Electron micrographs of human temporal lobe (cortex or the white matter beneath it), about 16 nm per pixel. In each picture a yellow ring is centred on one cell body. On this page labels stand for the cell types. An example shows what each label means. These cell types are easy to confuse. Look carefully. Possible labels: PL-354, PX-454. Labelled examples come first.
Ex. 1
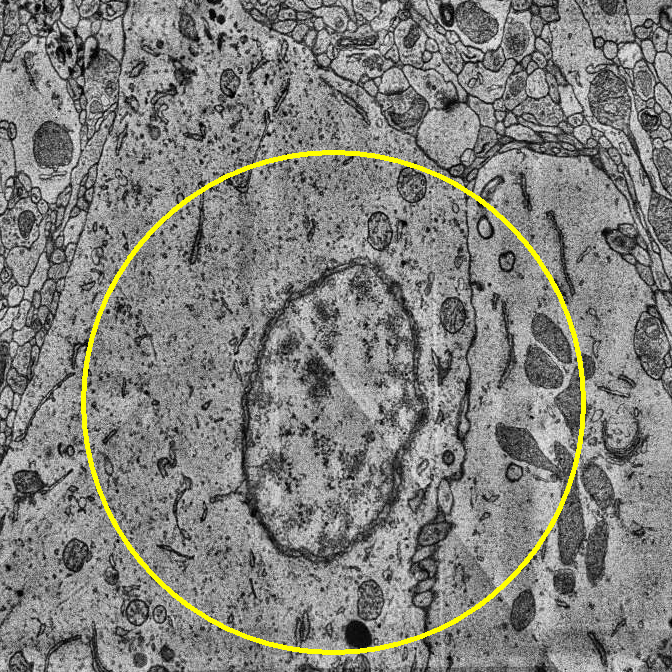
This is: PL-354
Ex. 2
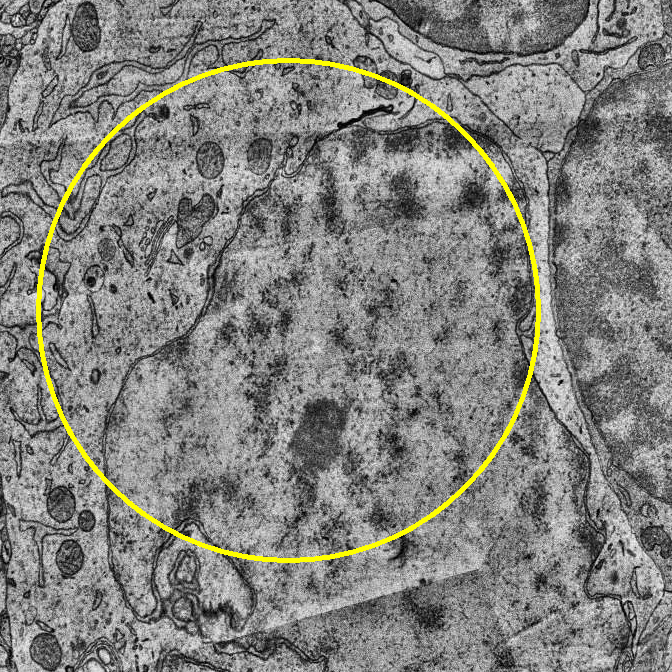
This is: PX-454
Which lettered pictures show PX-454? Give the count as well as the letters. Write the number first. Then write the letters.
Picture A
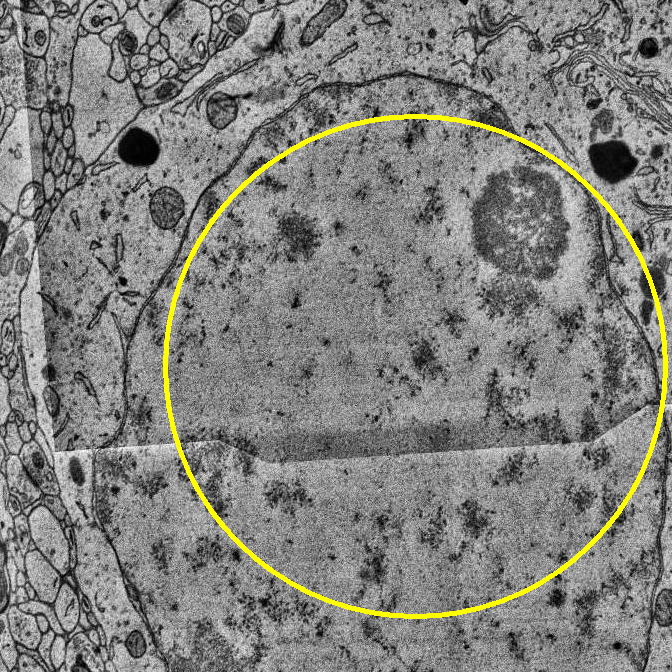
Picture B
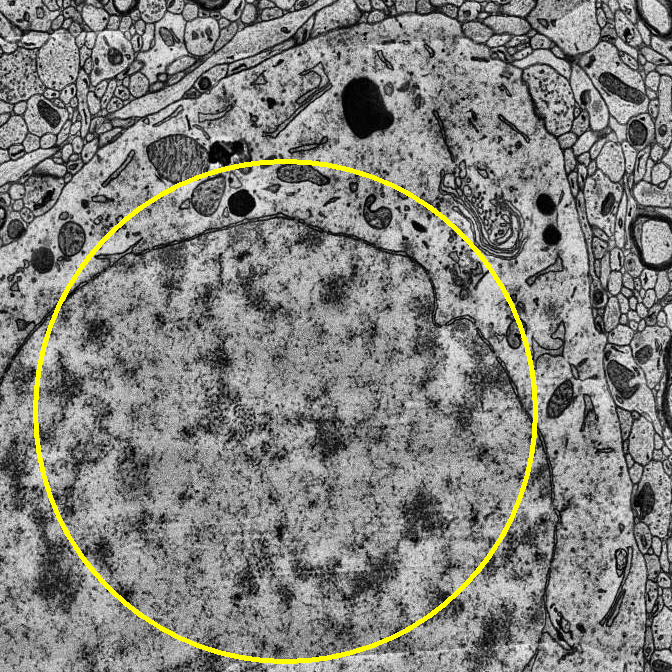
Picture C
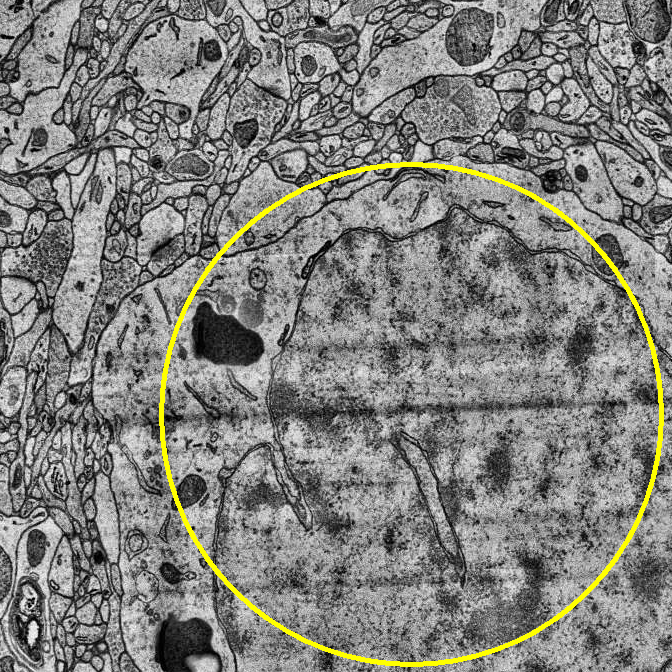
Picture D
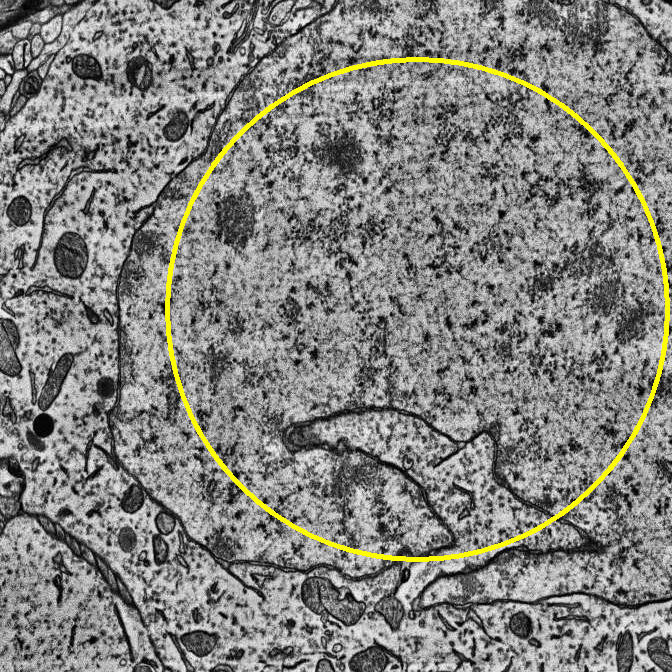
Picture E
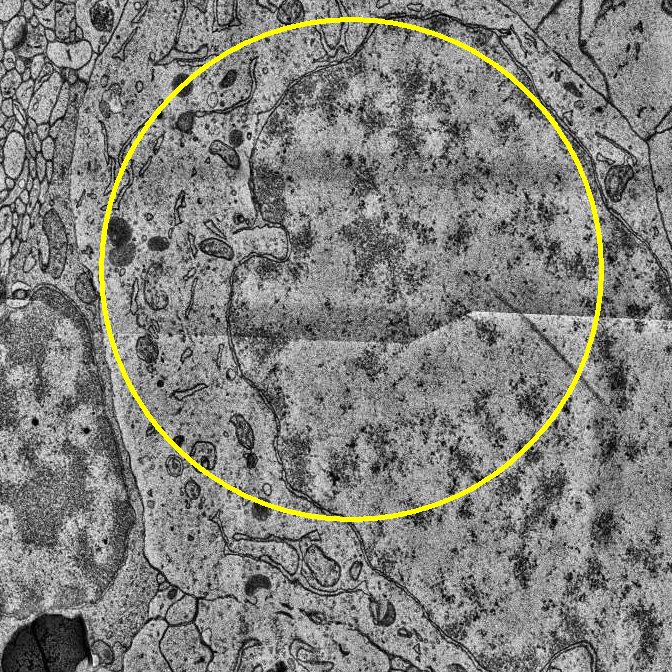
3: C, D, E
